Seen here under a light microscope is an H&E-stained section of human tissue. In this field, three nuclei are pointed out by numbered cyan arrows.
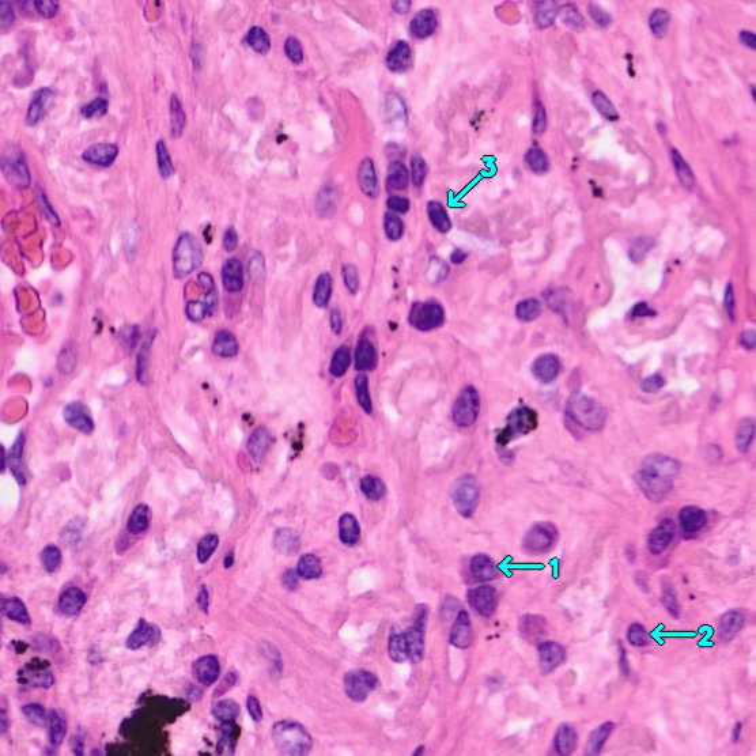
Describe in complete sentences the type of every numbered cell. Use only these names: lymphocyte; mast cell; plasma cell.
Cell 1 is a plasma cell, cell 2 is a mast cell and cell 3 is a lymphocyte.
